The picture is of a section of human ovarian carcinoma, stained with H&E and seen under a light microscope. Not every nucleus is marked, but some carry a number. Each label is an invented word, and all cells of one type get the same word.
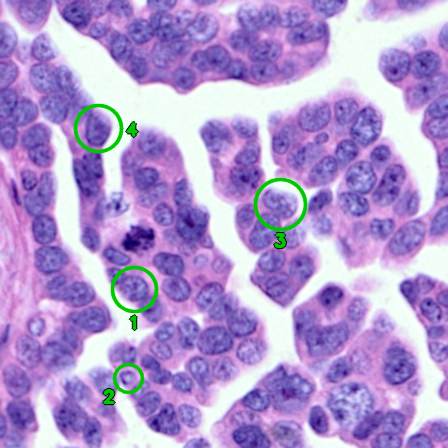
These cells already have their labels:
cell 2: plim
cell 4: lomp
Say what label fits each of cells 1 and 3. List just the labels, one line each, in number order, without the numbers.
lomp
lomp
